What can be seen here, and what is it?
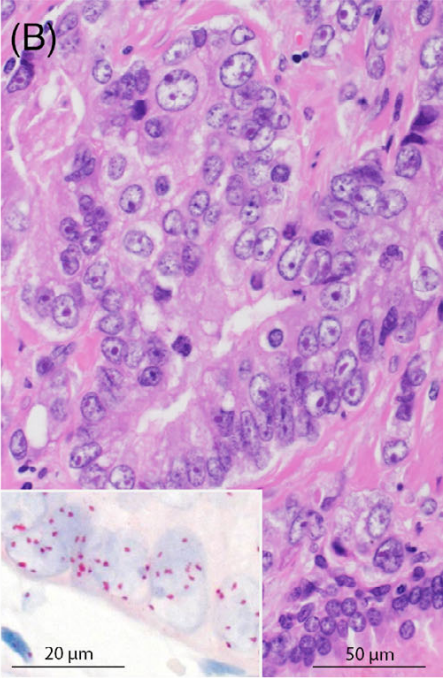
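Tumor cells lie in crowded sheets and poorly formed clusters within pink stroma. Their nuclei are large and pleomorphic, varying markedly in size and shape, with vesicular chromatin and prominent nucleoli.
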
